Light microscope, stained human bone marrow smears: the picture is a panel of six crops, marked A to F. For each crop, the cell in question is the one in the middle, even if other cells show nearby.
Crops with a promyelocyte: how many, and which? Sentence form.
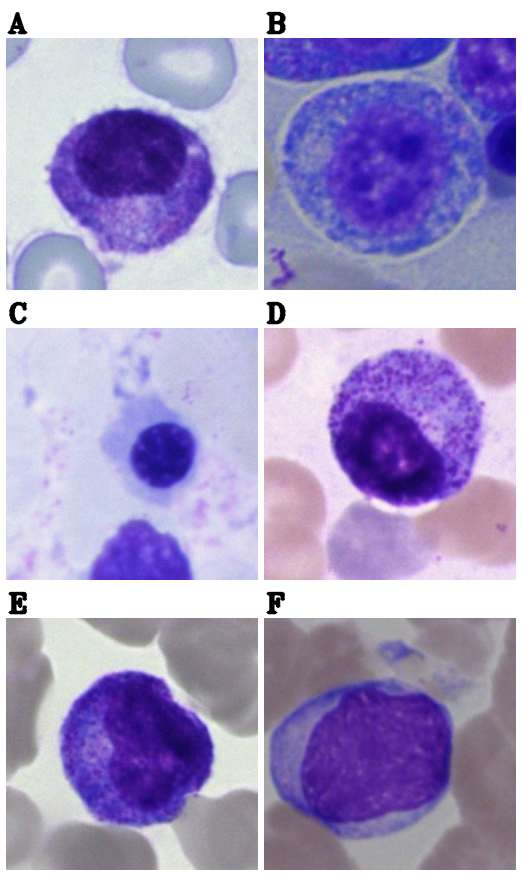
Findings: four crops show promyelocytes, namely A, B, D and E.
